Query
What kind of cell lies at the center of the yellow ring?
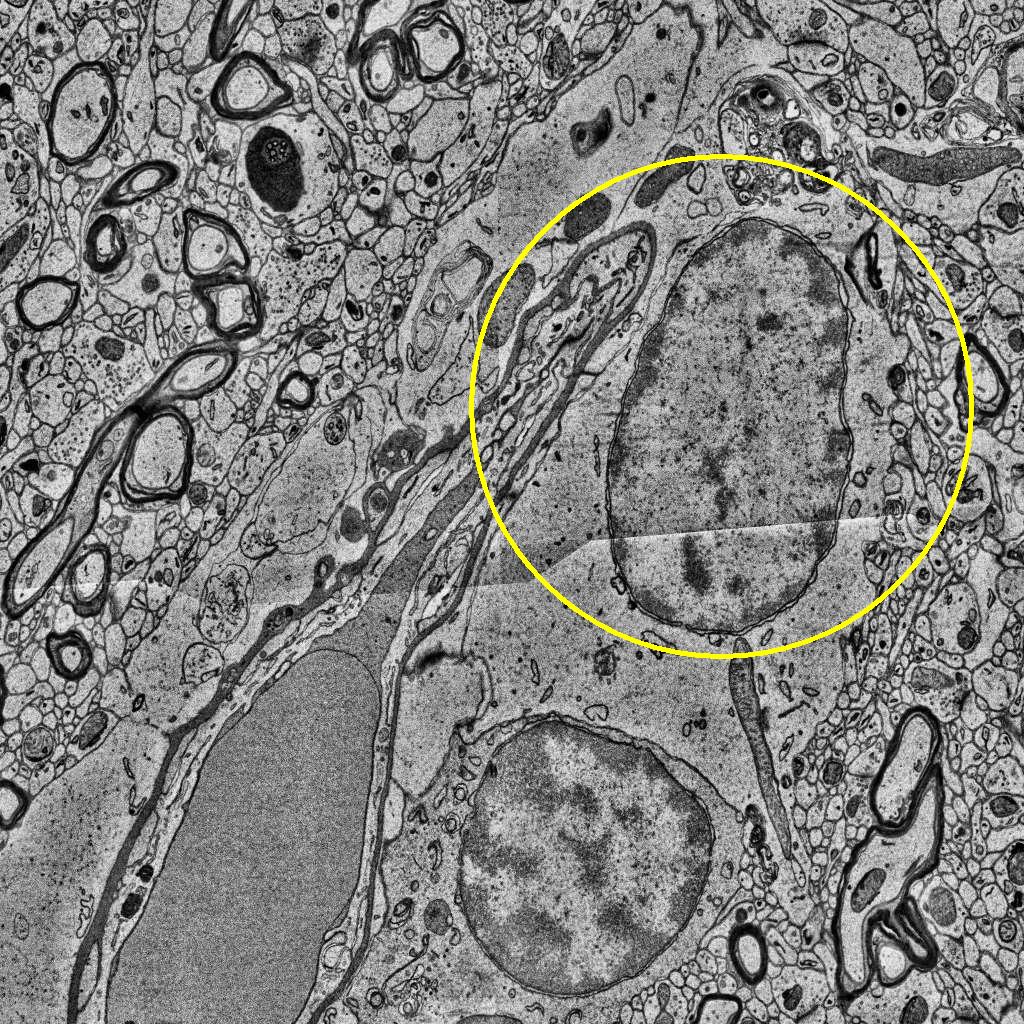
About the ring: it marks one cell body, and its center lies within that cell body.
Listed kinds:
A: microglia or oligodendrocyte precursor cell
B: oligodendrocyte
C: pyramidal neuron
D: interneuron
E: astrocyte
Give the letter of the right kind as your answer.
A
